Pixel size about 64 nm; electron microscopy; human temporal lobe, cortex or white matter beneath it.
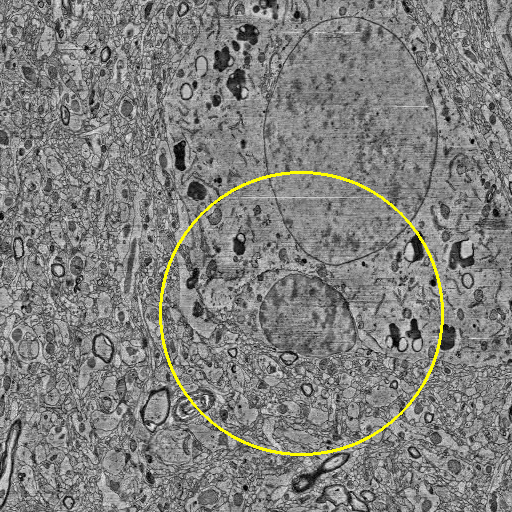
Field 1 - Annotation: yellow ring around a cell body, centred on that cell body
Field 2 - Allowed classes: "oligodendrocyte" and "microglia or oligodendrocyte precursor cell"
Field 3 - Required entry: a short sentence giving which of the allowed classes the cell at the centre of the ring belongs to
The centred cell is an oligodendrocyte.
